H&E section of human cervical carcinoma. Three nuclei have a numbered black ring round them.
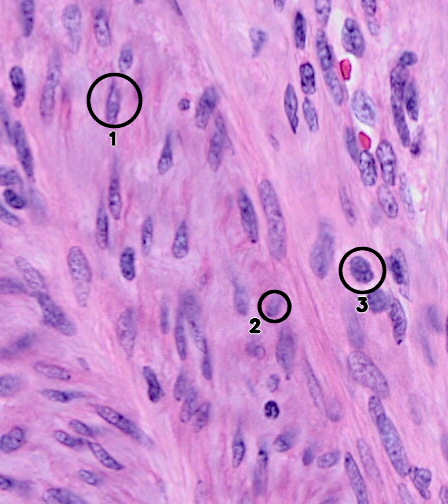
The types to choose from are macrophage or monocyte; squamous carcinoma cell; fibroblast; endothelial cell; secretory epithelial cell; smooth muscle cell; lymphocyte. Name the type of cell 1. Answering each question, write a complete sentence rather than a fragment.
In this section, the cell numbered 1 is a smooth muscle cell.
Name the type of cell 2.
Of the numbered cells, the one labelled 2 is a smooth muscle cell.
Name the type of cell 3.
The cell carrying label 3 is identified as a lymphocyte.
